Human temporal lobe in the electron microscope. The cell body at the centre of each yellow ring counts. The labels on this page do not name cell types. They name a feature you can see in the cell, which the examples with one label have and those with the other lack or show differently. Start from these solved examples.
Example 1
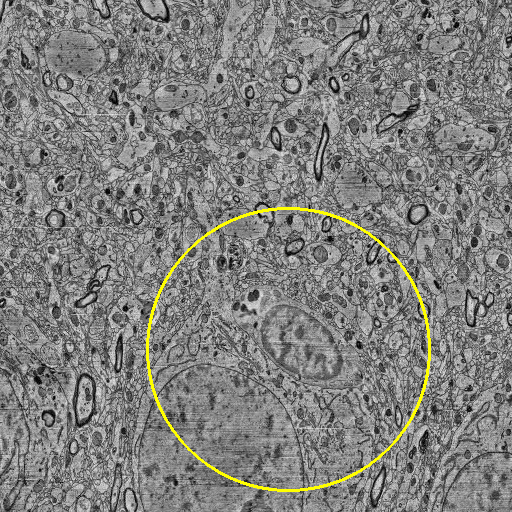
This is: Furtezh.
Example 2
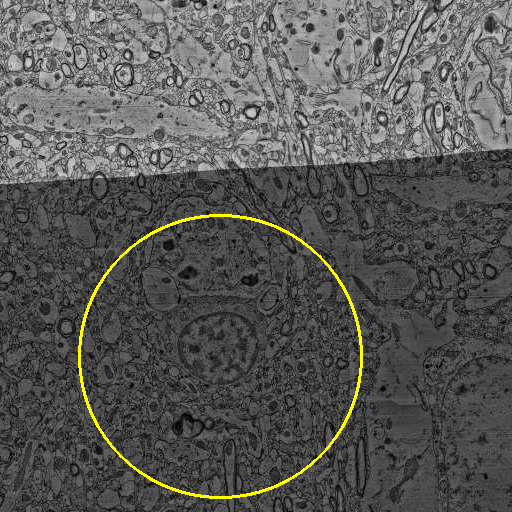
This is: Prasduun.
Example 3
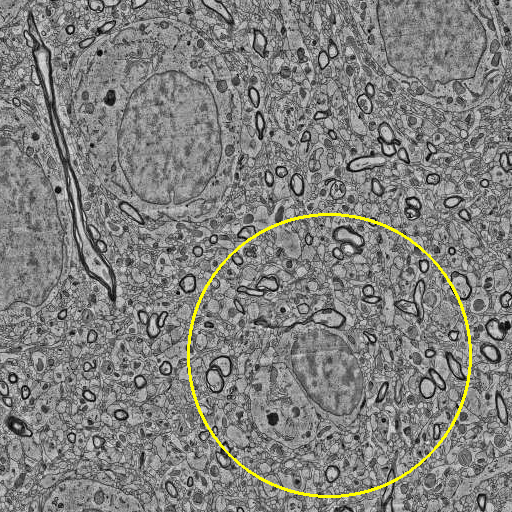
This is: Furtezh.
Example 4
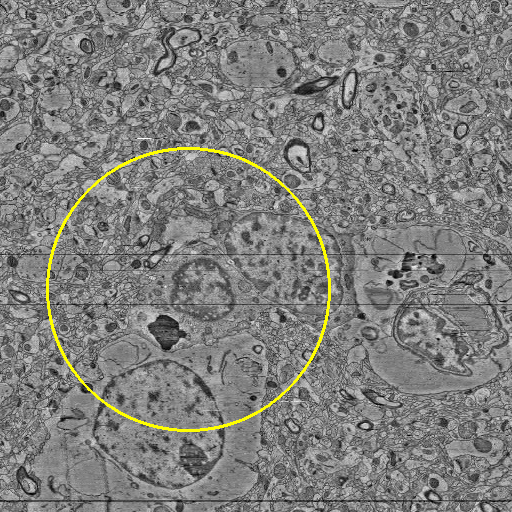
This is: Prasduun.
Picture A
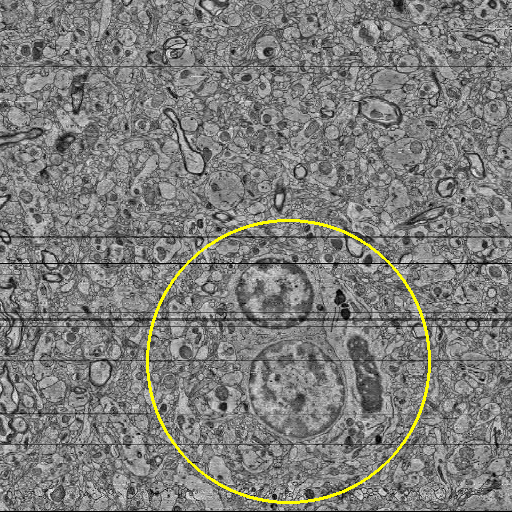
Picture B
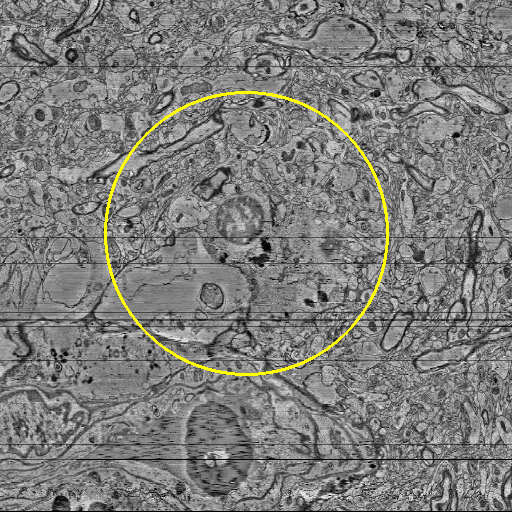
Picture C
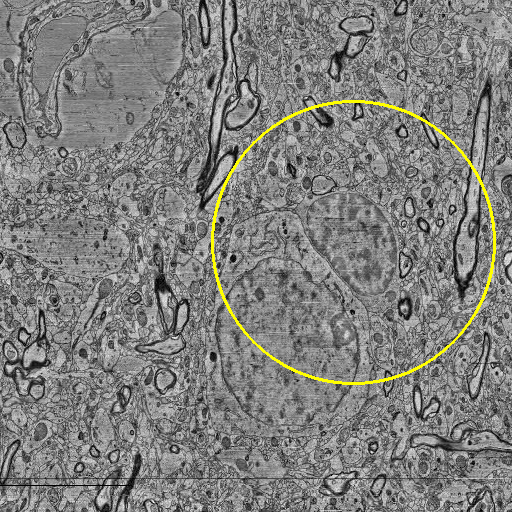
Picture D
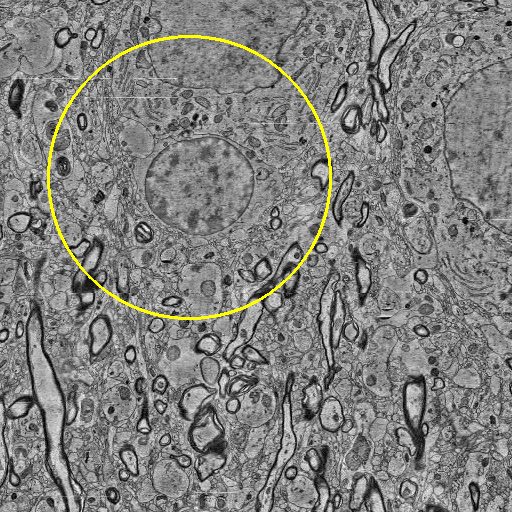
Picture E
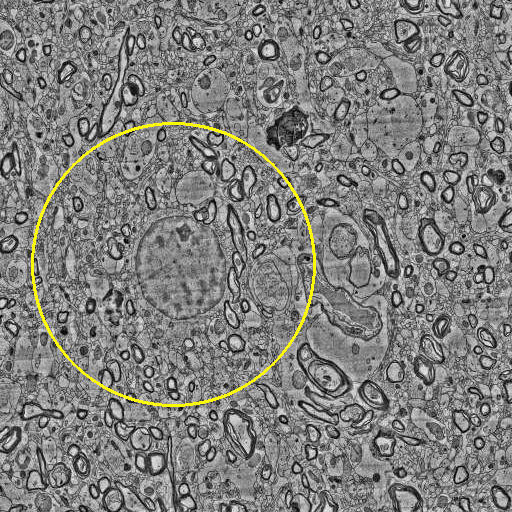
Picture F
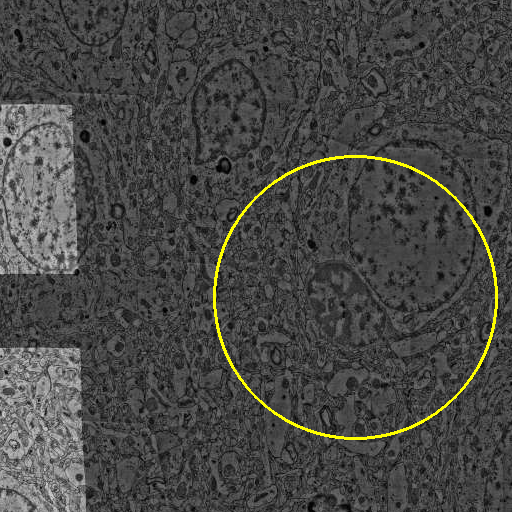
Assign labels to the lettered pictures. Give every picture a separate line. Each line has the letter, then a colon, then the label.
A: Prasduun.
B: Prasduun.
C: Furtezh.
D: Prasduun.
E: Prasduun.
F: Prasduun.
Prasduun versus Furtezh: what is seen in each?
Prasduun, round or nearly round nuclei; Furtezh, clearly elongated nuclei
